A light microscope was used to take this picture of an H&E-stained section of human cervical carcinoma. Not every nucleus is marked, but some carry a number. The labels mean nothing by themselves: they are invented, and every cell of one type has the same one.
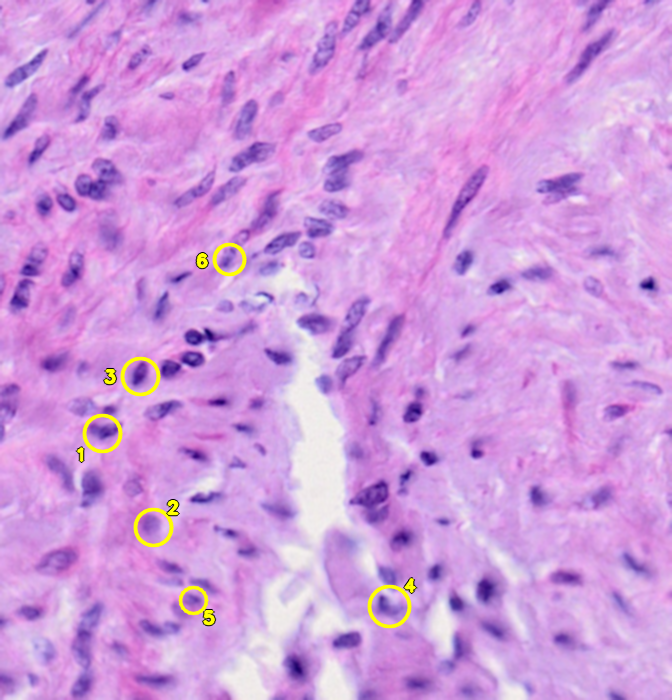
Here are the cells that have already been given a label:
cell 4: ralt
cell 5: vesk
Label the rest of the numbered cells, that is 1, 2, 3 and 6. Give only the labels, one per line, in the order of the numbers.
ralt
vesk
ralt
vesk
